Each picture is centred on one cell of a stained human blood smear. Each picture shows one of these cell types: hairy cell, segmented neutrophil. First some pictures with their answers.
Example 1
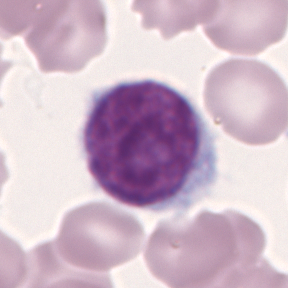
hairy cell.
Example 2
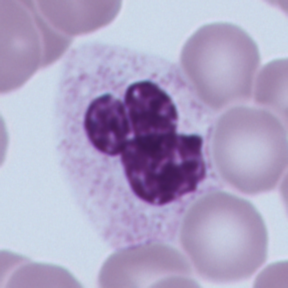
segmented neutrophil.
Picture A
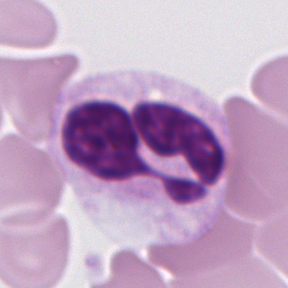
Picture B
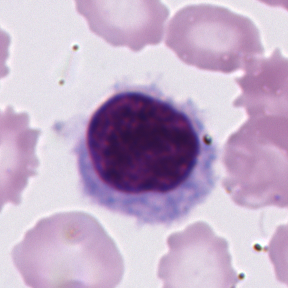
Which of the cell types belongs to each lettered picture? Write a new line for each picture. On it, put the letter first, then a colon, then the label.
A: segmented neutrophil.
B: hairy cell.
